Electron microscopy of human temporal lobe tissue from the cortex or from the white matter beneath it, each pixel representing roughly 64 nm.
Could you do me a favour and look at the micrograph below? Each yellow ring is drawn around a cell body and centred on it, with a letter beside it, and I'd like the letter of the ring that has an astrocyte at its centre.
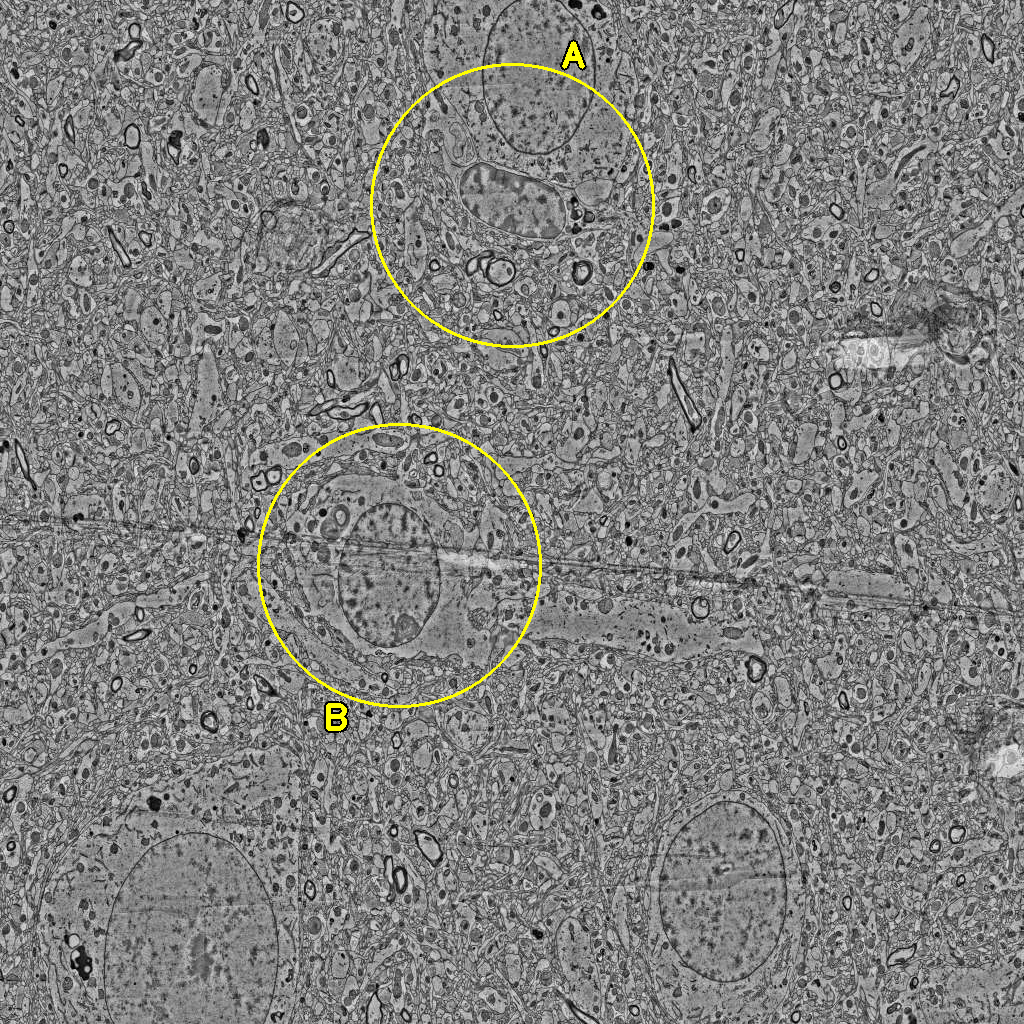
B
